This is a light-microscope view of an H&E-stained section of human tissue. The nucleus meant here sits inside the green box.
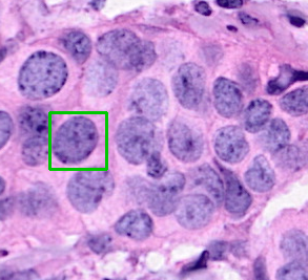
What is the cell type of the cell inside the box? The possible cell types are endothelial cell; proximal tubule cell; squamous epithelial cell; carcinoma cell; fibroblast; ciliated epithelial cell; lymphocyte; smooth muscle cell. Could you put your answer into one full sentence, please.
The classification of the cell inside the box is as a carcinoma cell.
